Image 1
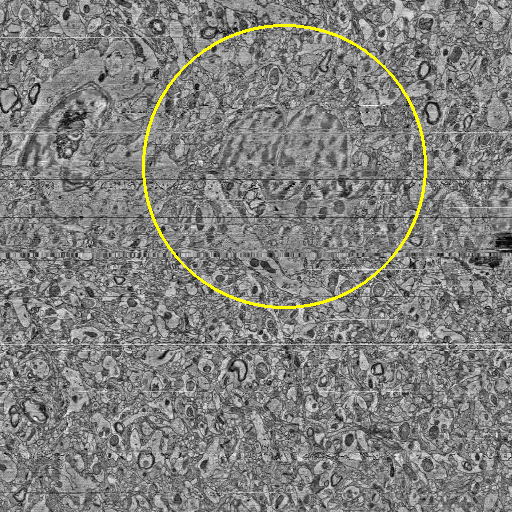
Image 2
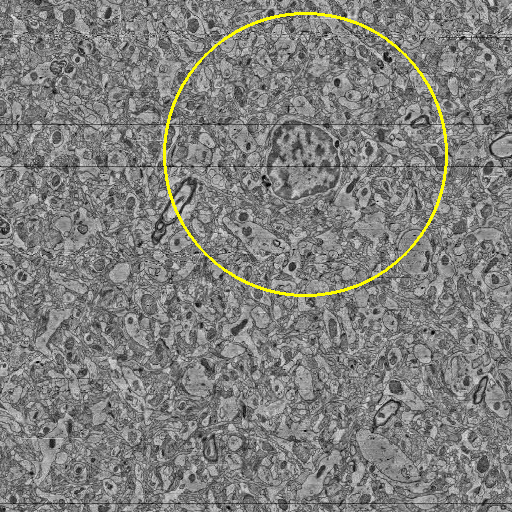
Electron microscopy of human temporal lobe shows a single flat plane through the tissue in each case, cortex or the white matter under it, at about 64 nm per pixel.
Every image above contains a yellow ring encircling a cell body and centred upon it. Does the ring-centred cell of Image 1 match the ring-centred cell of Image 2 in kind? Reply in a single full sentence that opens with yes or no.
No, the cell at the ring's centre in Image 1 is a separate kind from that in Image 2.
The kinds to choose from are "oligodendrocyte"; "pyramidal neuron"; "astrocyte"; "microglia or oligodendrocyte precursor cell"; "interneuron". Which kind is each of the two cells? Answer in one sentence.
Of the two, the first cell is an oligodendrocyte and the second cell is a microglial cell or oligodendrocyte precursor cell.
